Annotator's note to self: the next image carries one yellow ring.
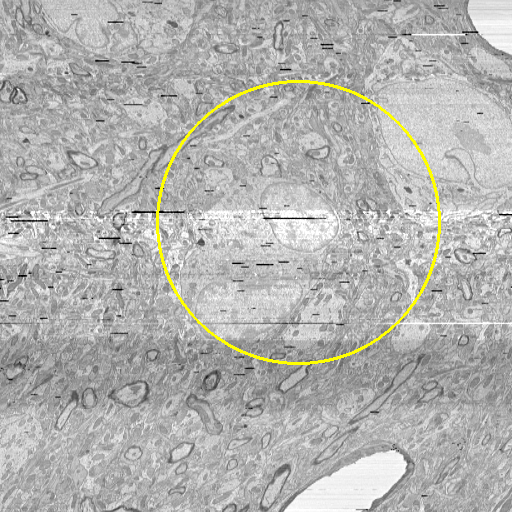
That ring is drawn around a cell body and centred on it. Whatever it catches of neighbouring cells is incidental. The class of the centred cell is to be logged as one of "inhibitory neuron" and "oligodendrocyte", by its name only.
oligodendrocyte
